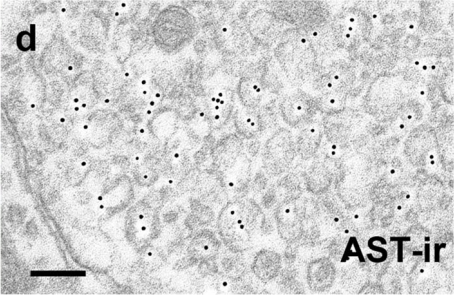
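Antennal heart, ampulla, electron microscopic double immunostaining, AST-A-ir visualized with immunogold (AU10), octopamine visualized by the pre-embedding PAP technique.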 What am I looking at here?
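These are nerve terminals in neurohemal tissue, crowded with round vesicles of varying size, some with dense content. Black gold particles are scattered densely over the vesicle-filled terminals.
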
